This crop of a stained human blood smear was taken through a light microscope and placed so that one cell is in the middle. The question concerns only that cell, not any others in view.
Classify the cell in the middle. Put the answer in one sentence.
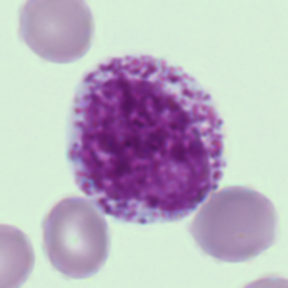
In the middle of this smear crop is a metamyelocyte.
